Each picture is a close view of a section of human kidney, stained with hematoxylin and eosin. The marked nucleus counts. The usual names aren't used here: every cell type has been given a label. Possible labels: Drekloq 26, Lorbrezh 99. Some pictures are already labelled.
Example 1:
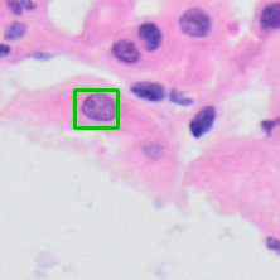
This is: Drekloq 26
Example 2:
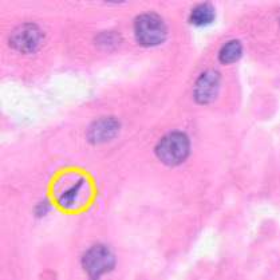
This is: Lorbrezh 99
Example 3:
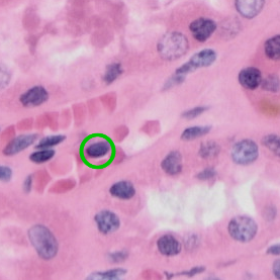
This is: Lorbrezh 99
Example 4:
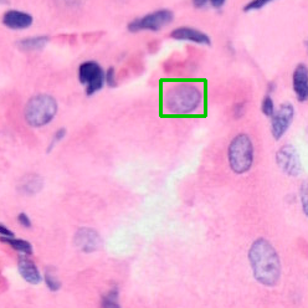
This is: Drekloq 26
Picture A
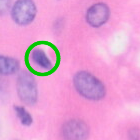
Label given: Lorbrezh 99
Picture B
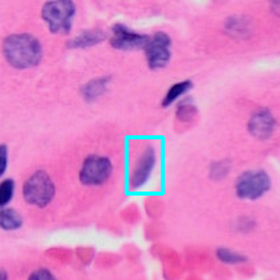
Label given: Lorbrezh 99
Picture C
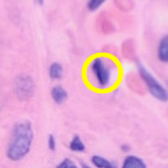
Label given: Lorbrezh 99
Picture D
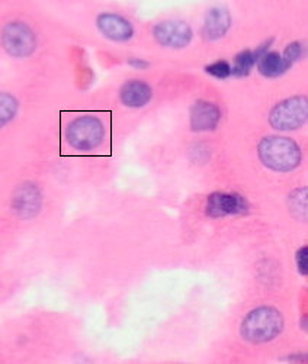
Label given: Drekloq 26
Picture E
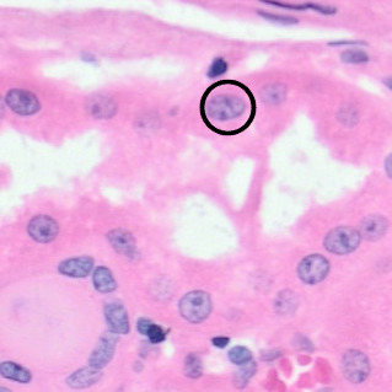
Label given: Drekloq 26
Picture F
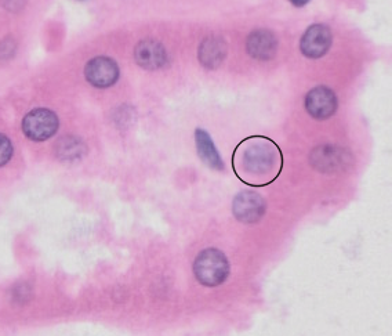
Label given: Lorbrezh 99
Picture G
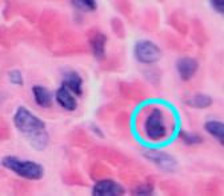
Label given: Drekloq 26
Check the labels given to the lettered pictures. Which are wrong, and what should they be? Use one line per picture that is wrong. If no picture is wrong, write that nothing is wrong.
F: change Lorbrezh 99 to Drekloq 26
G: change Drekloq 26 to Lorbrezh 99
